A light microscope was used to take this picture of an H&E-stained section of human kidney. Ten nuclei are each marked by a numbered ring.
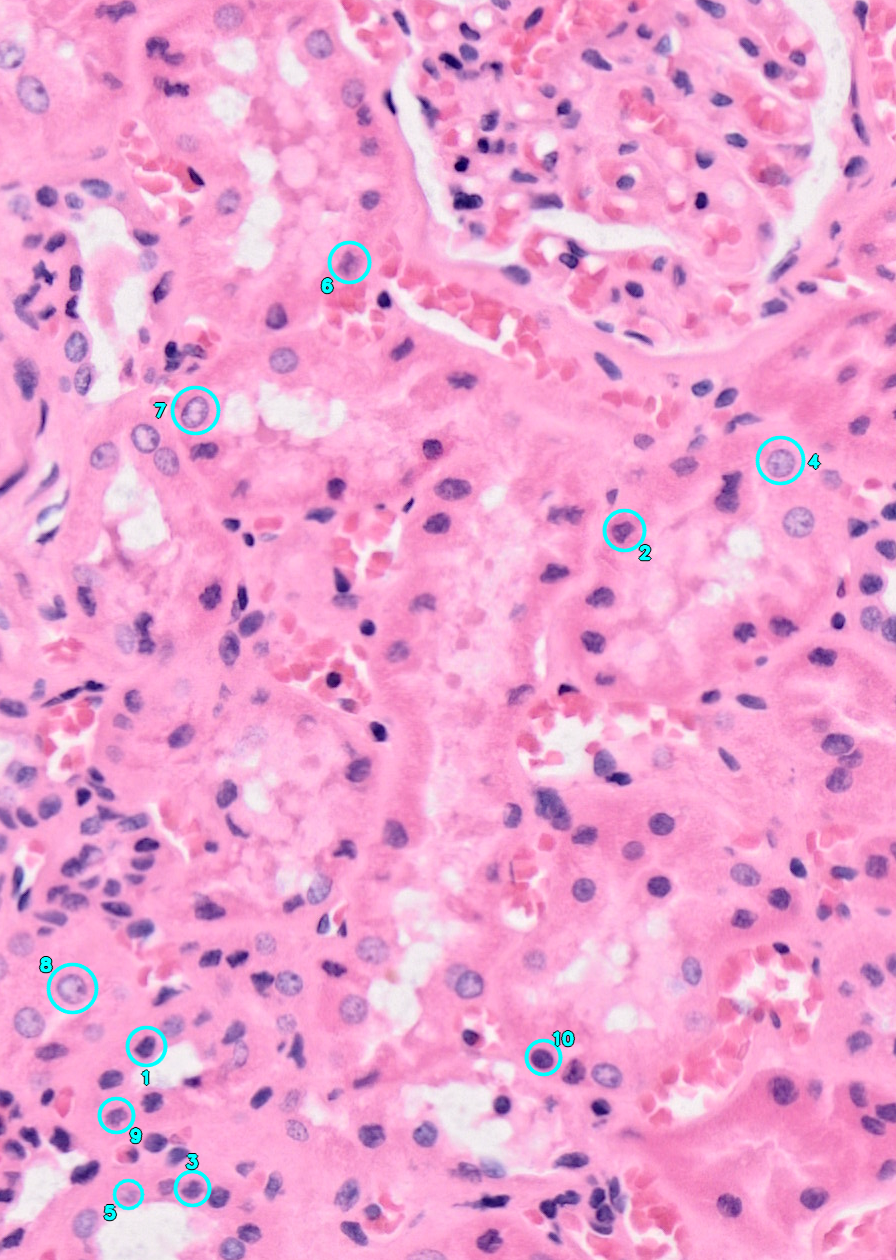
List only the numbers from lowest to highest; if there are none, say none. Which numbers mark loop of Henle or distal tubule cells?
1, 3, 5, 9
